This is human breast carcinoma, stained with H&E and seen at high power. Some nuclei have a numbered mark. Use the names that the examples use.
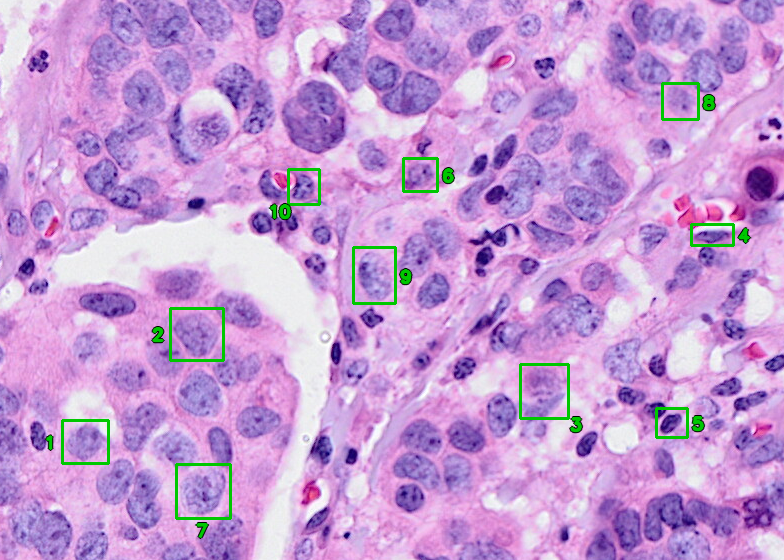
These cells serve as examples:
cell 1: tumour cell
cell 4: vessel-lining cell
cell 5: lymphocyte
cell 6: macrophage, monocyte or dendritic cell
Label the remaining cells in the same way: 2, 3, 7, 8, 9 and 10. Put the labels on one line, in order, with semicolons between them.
tumour cell; tumour cell; tumour cell; tumour cell; tumour cell; vessel-lining cell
